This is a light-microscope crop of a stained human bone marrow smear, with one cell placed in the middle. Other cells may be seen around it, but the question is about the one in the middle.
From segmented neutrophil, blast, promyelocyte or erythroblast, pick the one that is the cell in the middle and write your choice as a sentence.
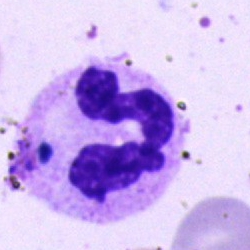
Whatever else lies nearby, the middle cell is a segmented neutrophil.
